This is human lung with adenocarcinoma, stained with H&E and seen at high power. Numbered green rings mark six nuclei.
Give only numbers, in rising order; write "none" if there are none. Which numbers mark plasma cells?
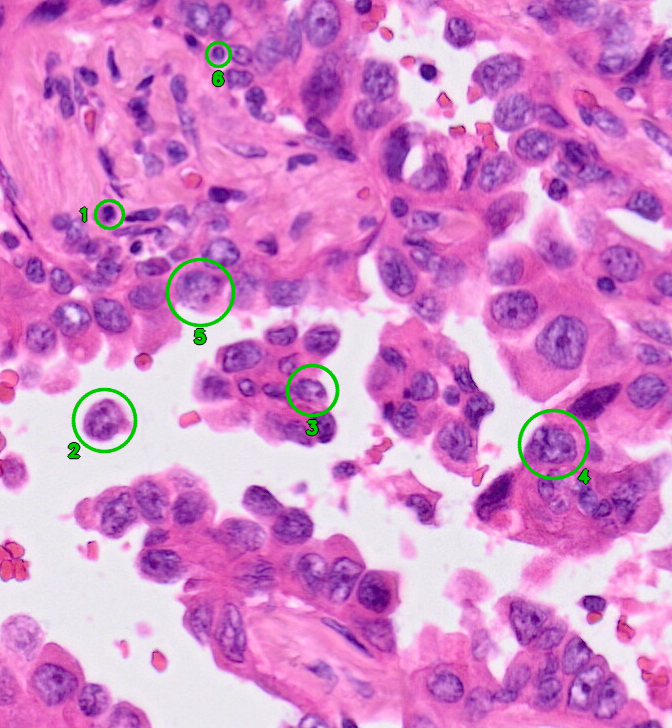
1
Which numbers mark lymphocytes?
6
